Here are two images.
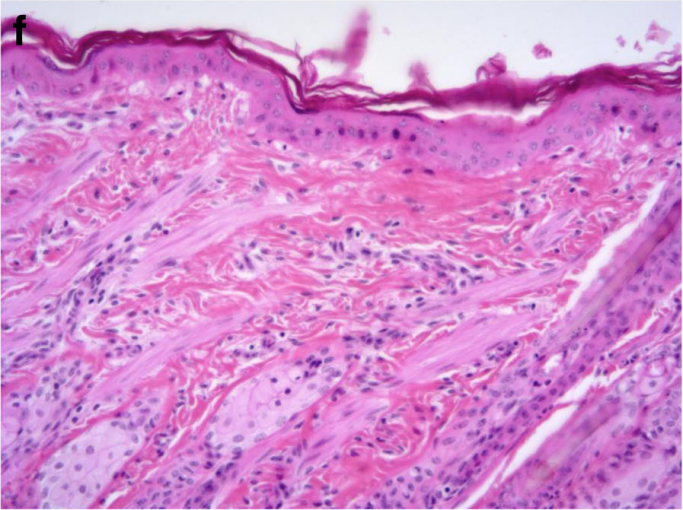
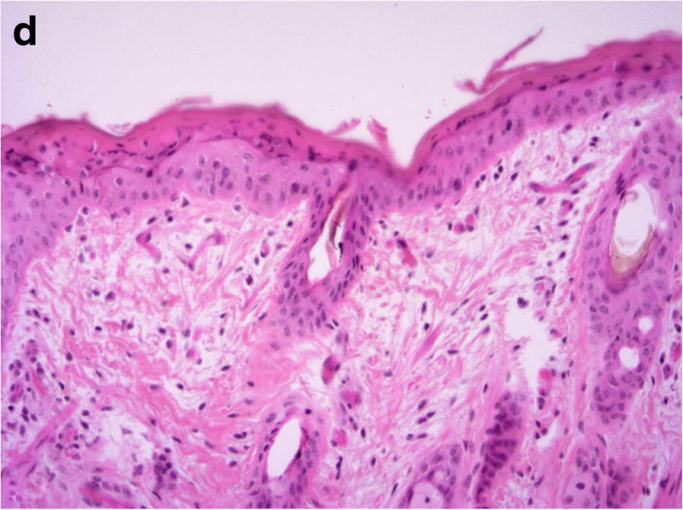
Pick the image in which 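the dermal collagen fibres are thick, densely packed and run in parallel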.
the first image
